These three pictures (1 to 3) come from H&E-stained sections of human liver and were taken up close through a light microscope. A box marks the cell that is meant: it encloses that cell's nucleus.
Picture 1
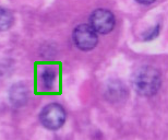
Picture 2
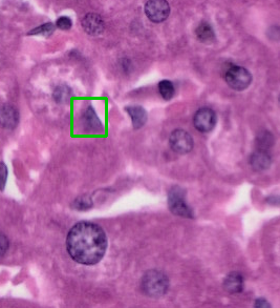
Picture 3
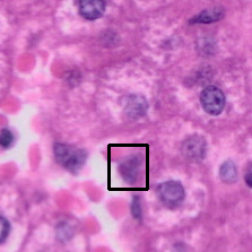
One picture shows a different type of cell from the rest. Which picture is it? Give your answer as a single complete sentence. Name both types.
All pictures except 1 show endothelial cells; picture 1 shows a “fibroblast or stellate cell”.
